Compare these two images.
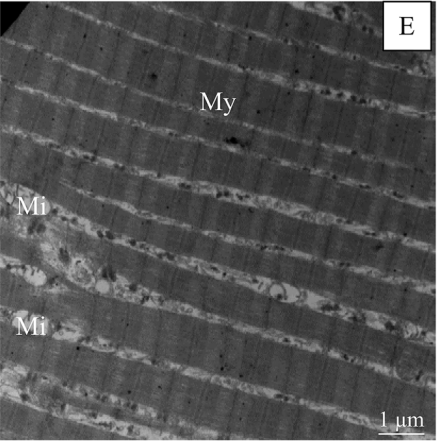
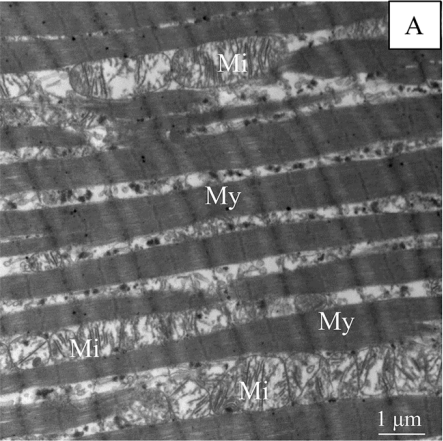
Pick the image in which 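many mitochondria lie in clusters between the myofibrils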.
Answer: The second image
